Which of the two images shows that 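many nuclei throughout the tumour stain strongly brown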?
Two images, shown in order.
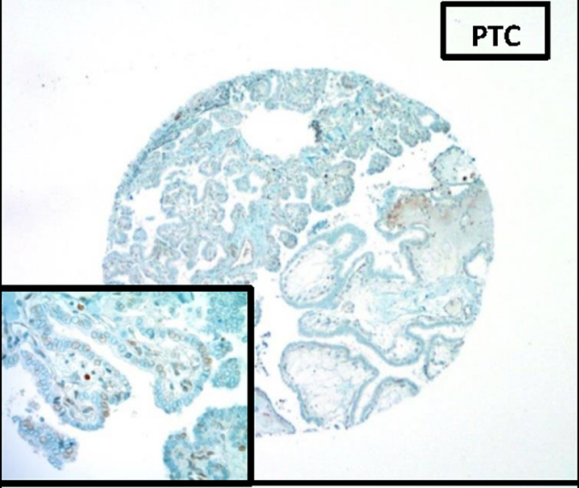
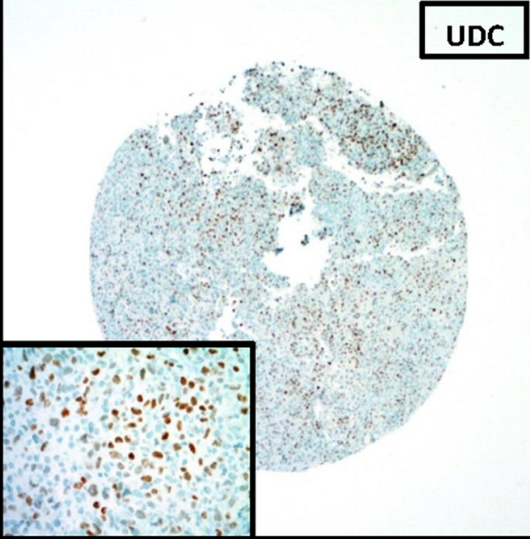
The second image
